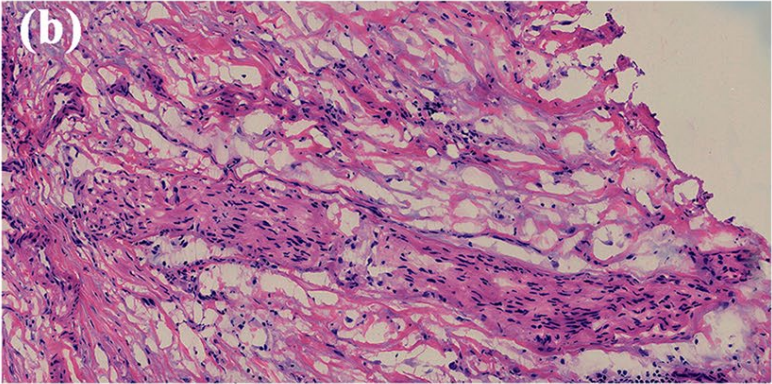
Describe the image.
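A section of a nerve lying in loose connective tissue. The nerve forms an elongated bundle of pink, wavy, parallel fibres with many slender, dark purple, spindle-shaped nuclei aligned along its length. Around it lie loose, open strands of pink collagen with scattered small nuclei.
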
